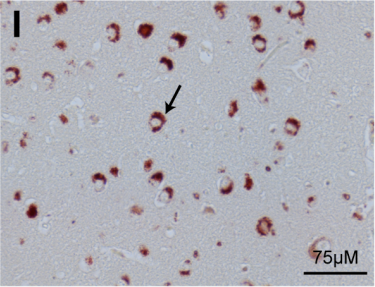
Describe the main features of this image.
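The stain fills the cytoplasm of each cell body, often heaviest as a crescent or cap to one side. A pale, unstained round nucleus is seen inside many of the stained cell bodies. The neurons lie singly and well apart from each other in a pale, finely textured neuropil with little background colour. A few small unstained profiles and faint vessel outlines are also seen between them.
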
